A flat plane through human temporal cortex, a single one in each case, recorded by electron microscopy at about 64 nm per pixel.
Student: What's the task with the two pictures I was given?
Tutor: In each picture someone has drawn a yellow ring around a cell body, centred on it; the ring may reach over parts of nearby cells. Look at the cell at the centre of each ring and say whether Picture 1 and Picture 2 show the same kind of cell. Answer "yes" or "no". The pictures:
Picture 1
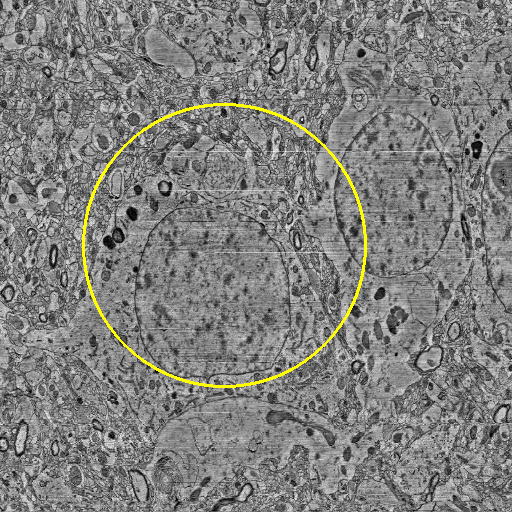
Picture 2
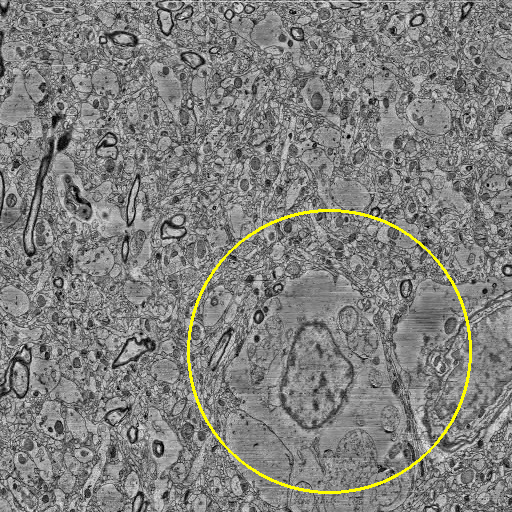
no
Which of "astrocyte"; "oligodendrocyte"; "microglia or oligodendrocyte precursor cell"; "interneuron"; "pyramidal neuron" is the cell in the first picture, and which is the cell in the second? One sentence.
The two differ: the first cell is a pyramidal neuron and the second is an astrocyte.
